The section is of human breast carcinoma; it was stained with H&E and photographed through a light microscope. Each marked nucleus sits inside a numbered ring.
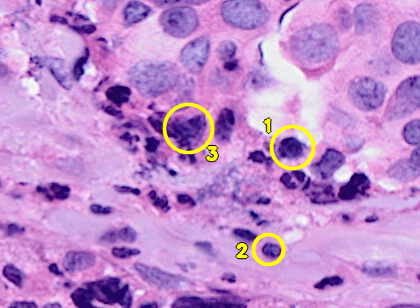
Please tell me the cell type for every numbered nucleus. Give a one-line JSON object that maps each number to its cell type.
{"1": "carcinoma cell", "2": "mast cell", "3": "carcinoma cell"}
